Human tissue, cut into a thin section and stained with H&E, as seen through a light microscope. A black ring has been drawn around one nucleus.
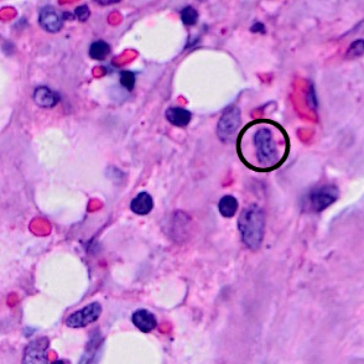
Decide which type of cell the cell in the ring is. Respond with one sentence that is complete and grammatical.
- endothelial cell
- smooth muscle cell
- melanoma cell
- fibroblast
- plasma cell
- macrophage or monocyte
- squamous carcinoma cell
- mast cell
Students should answer that the cell in the ring is a mast cell.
